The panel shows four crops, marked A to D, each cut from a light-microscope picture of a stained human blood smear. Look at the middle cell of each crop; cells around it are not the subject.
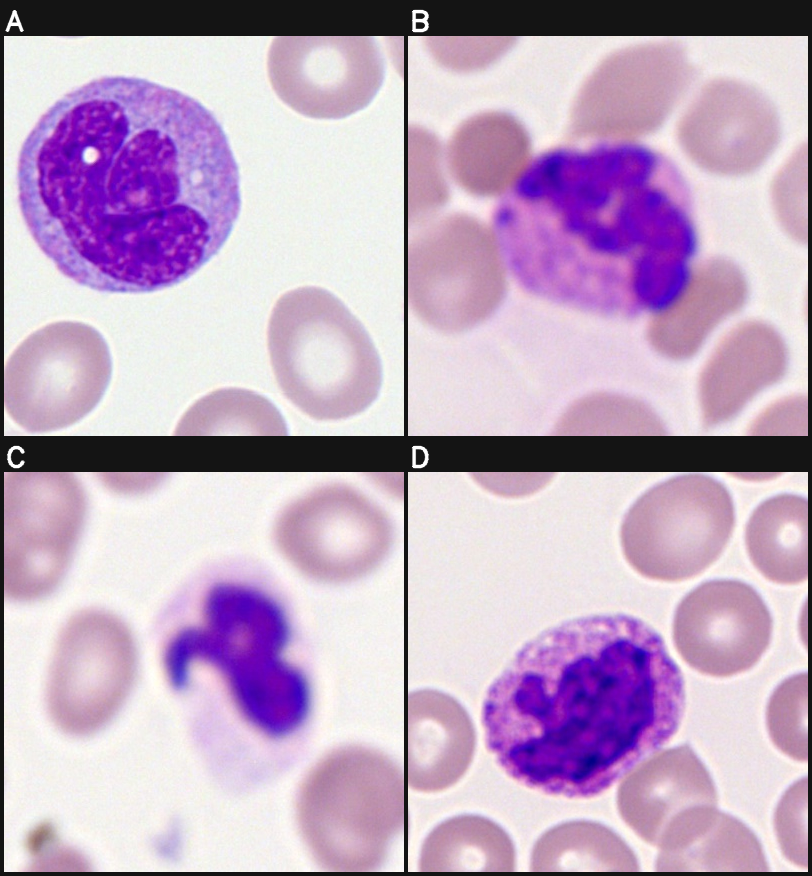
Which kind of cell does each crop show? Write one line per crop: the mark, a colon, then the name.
A: monocyte
B: basophil
C: neutrophil
D: basophil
